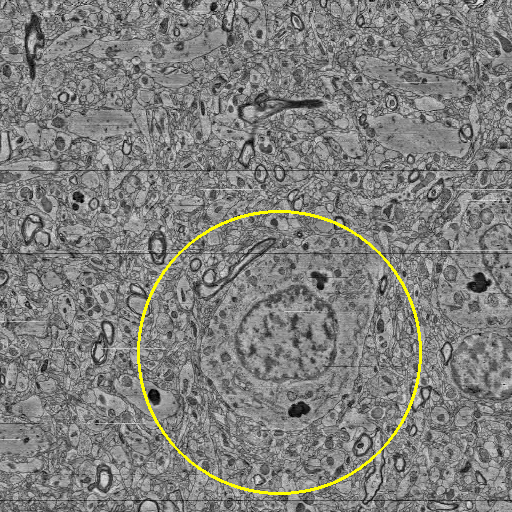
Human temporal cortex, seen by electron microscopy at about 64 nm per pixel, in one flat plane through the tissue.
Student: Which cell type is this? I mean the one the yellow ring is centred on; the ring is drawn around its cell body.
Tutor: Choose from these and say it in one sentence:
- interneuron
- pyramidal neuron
The cell the ring is centred on is an interneuron.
